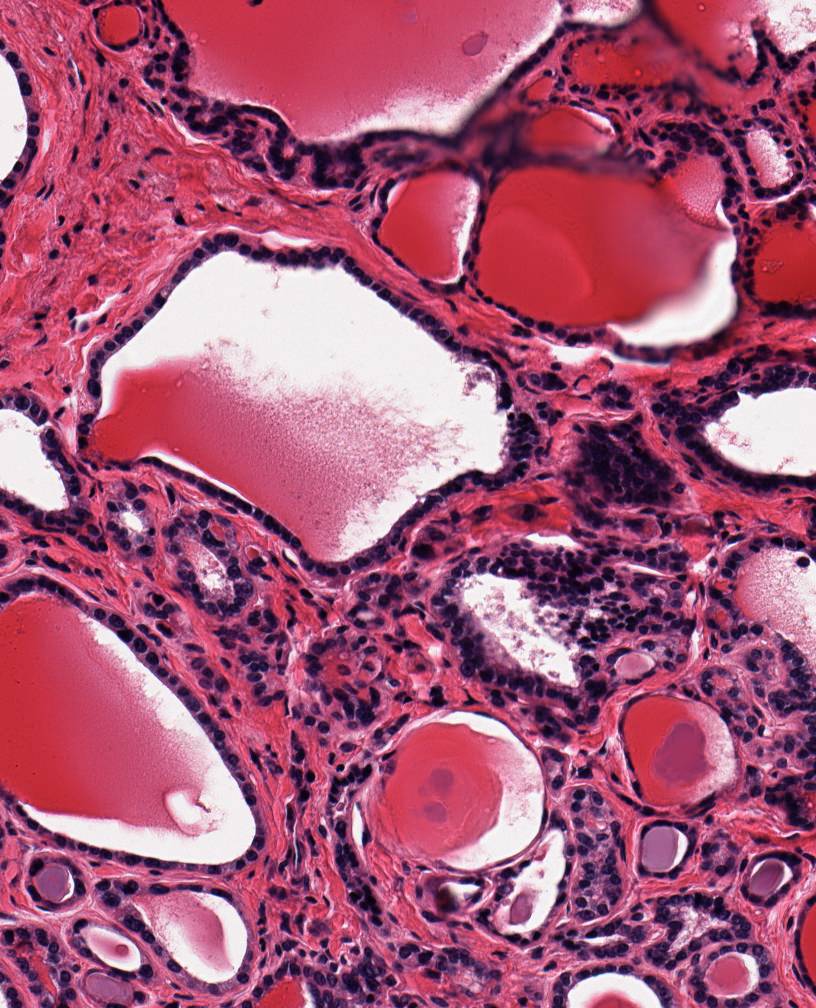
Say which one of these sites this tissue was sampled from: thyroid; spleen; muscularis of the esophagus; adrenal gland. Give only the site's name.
thyroid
